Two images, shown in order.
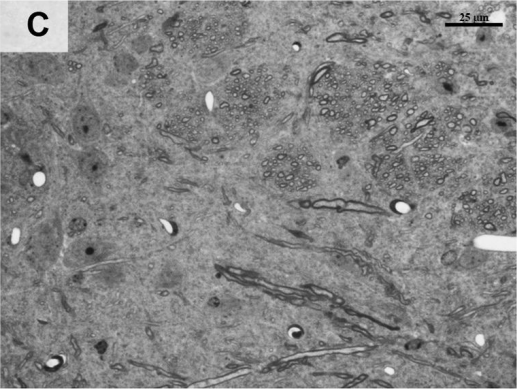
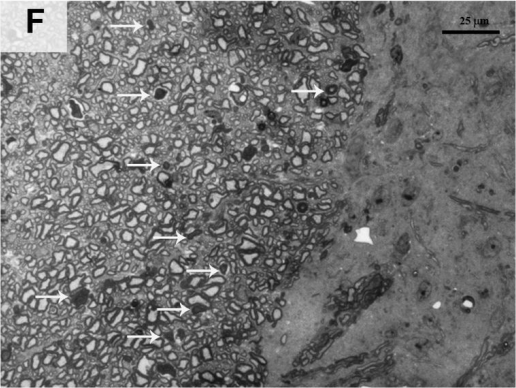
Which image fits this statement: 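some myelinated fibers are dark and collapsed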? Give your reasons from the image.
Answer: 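First image: the cross-sectioned myelinated fibers are regular rings with pale centres. Second image: scattered fibers among the rings are dark, dense and irregular in outline.
Answer: the second image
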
